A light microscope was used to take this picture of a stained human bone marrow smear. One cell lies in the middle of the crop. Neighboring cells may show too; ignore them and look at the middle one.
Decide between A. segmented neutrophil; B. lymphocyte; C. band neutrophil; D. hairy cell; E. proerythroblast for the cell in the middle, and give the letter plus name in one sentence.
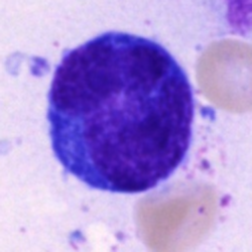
Identification: the cell in the middle is a proerythroblast, matching option E.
